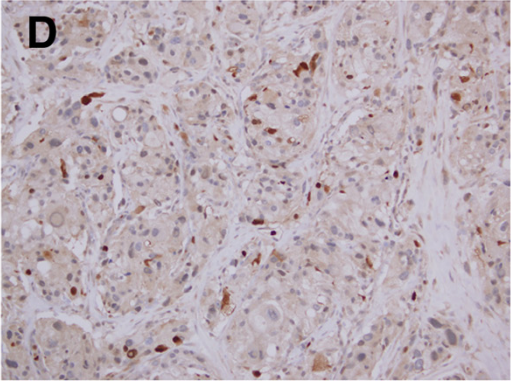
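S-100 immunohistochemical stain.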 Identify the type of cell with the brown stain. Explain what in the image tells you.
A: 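Scattered small brown-stained cells lie among the pale tumor cells. The brown cells sit mostly at the edges of the nests. Most tumor cells in the nests are unstained. That points to this answer: sustenticular cells.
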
